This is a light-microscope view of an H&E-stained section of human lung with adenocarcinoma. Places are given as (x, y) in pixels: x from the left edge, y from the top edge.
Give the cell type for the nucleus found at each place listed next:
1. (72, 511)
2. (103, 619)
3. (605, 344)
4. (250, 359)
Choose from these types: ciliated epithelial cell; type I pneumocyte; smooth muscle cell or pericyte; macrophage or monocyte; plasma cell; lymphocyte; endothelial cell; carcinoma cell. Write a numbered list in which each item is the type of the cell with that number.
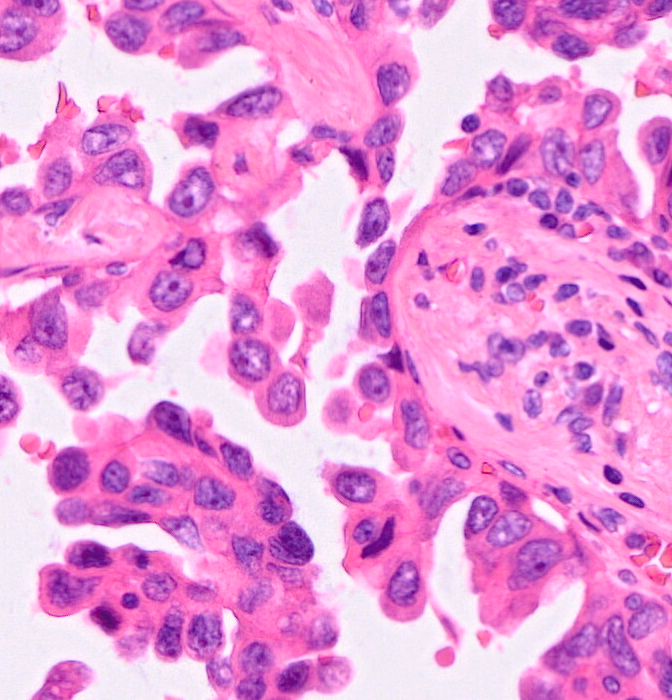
1. carcinoma cell
2. carcinoma cell
3. lymphocyte
4. carcinoma cell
